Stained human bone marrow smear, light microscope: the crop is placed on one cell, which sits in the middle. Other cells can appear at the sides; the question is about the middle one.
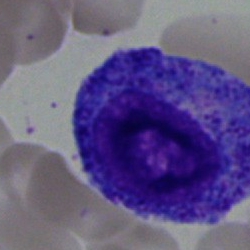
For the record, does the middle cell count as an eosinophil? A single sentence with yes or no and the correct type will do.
No, the cell of interest here is a promyelocyte and not an eosinophil.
